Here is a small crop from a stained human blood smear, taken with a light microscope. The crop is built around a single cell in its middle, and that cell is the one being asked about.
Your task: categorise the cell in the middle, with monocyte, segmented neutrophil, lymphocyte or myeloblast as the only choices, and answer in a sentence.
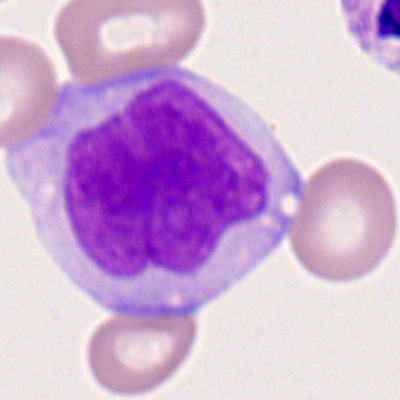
The cell at the heart of this crop is a monocyte.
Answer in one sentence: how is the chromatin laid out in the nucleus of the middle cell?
No coarse chromatin clumps are present; the pattern is fine.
